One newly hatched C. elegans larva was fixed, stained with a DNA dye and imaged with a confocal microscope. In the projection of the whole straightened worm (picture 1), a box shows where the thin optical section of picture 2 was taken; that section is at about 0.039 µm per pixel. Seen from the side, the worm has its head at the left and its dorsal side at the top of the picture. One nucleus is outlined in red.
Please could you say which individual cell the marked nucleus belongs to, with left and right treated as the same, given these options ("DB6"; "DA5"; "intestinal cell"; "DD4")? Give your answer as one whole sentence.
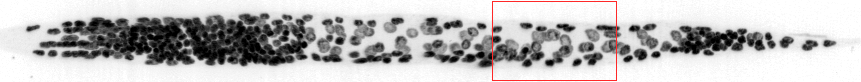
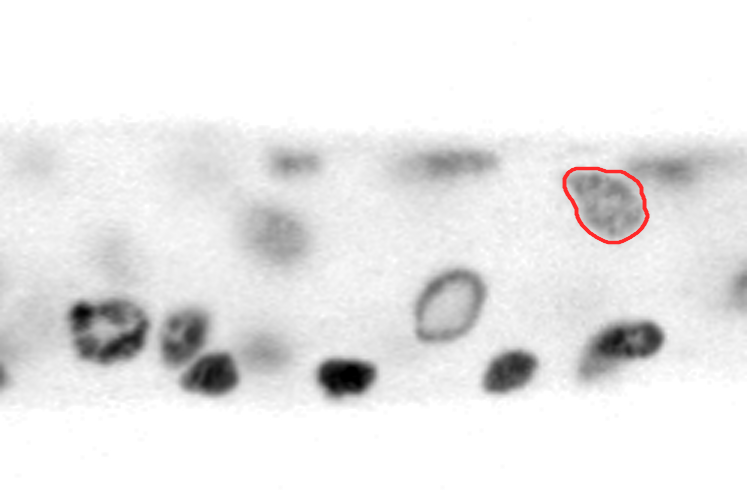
It is the nucleus of an intestinal cell.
